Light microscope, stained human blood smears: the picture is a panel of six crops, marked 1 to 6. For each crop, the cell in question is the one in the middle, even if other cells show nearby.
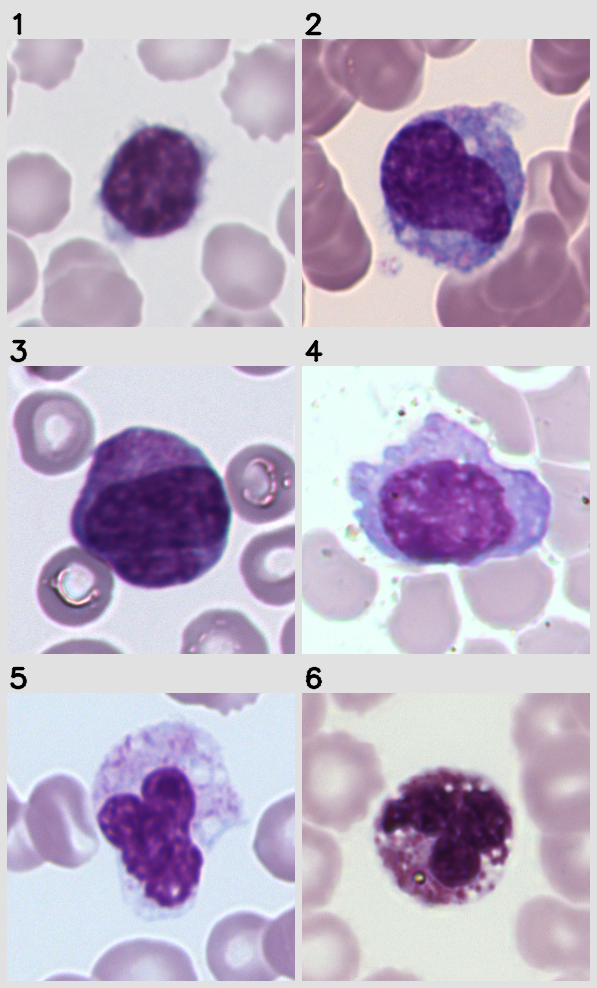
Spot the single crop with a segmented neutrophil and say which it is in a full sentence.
Crop 5 is where a segmented neutrophil is shown.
